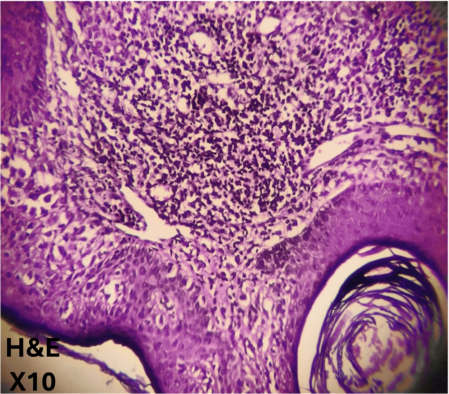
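Skin with a dense cellular infiltrate beneath the surface epithelium, at lower magnification. Stratified squamous epithelium runs along the lower right, bordering a rounded space filled with laminated keratin. Above and beside it lies a crowded sheet of small and medium cells with dark nuclei. Thin-walled vessels and clefts run through the infiltrate. The infiltrate abuts the epithelium closely.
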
